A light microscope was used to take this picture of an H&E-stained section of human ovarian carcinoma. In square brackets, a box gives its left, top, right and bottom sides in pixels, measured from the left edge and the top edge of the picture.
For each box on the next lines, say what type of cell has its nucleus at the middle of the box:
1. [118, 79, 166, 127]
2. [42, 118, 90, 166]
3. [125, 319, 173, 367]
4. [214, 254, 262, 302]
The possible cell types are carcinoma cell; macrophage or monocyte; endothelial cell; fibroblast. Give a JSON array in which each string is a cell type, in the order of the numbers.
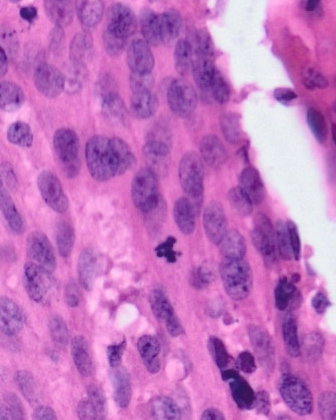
["carcinoma cell", "carcinoma cell", "macrophage or monocyte", "carcinoma cell"]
